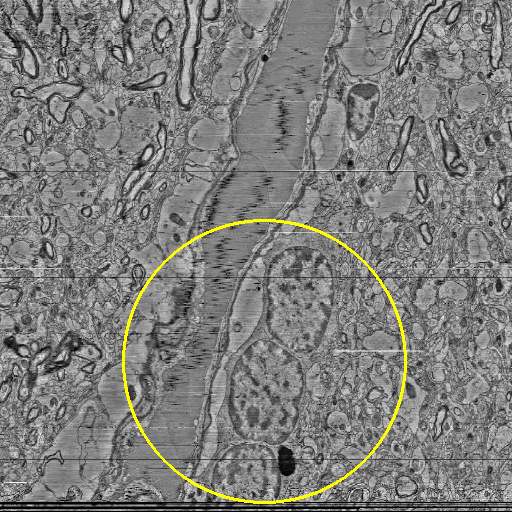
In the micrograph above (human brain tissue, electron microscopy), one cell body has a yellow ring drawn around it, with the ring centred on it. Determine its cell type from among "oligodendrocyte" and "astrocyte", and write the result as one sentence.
The cell whose body is ringed is an oligodendrocyte.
